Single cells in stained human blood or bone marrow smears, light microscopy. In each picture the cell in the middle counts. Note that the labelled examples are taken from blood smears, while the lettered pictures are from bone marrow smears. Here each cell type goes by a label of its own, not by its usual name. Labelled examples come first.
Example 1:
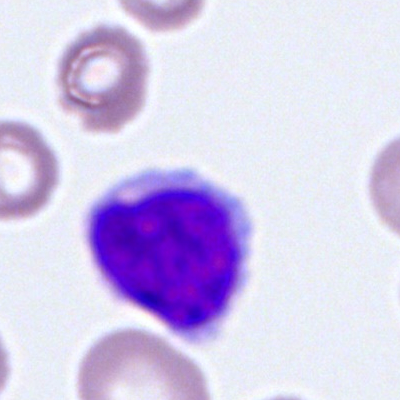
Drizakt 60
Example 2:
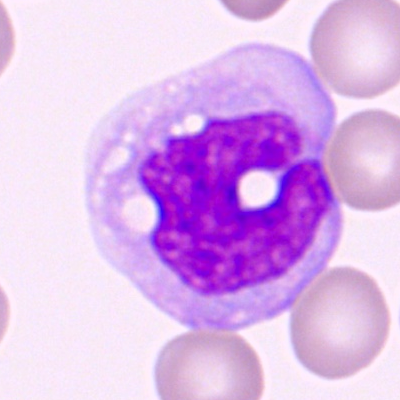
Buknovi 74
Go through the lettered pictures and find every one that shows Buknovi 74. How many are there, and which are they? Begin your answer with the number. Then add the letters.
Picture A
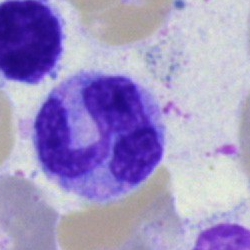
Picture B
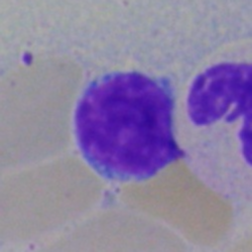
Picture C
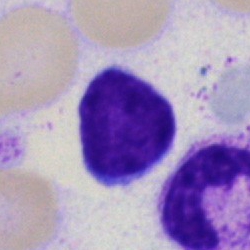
Count: 1 (A)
